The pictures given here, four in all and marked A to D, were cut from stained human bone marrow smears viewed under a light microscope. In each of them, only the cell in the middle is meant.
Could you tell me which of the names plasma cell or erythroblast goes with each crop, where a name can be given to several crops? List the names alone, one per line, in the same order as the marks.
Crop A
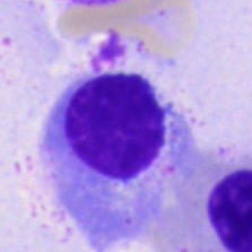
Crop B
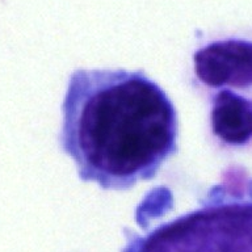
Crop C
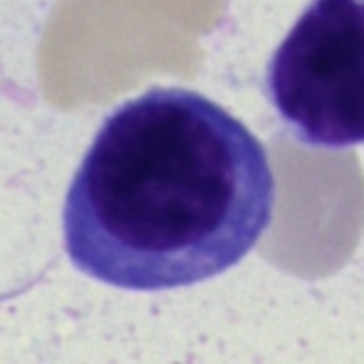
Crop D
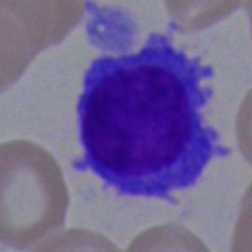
erythroblast
erythroblast
plasma cell
plasma cell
